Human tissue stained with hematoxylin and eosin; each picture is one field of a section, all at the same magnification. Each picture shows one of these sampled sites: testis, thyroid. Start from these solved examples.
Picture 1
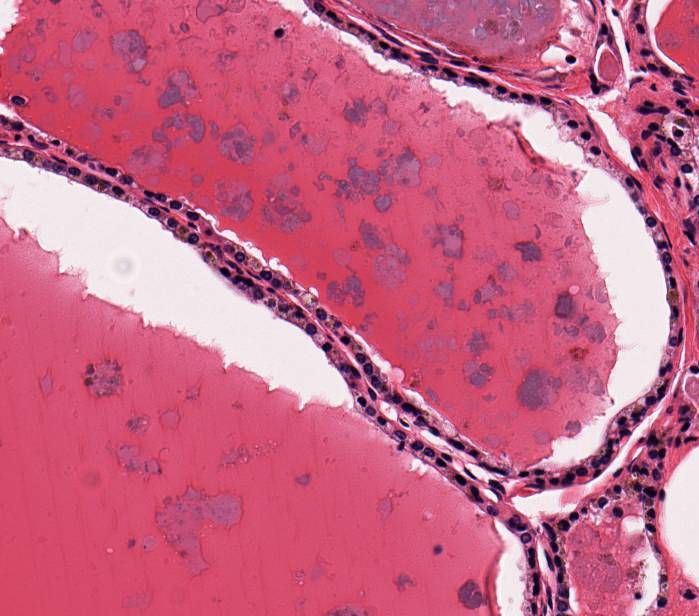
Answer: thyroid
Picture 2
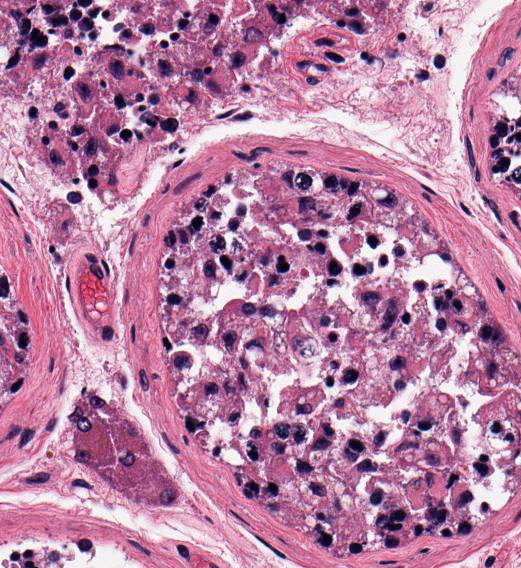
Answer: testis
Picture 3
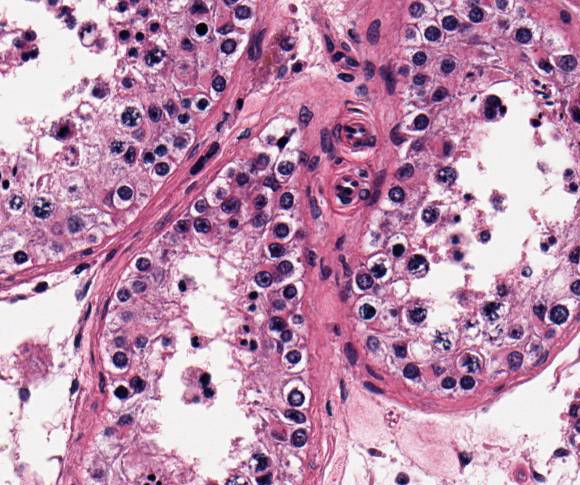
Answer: testis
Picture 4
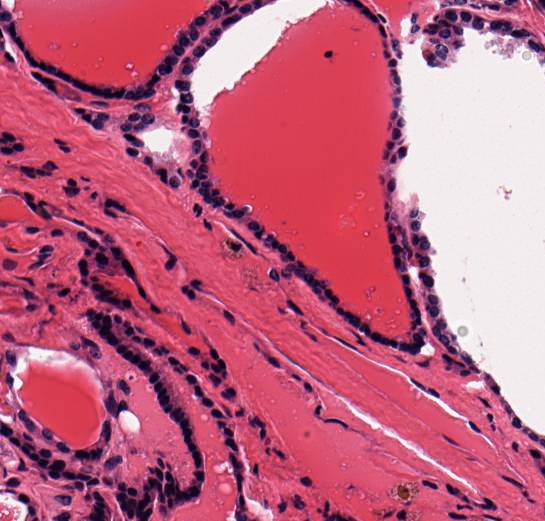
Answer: thyroid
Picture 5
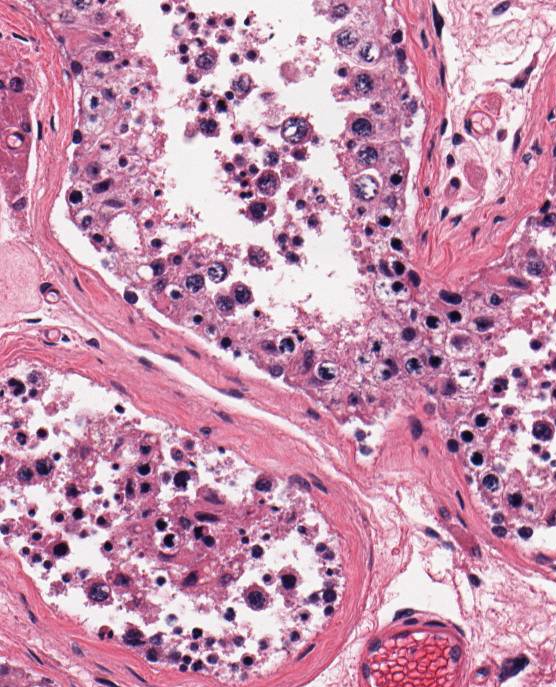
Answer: testis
